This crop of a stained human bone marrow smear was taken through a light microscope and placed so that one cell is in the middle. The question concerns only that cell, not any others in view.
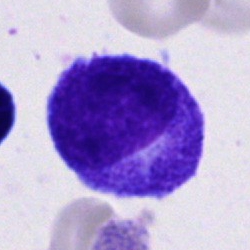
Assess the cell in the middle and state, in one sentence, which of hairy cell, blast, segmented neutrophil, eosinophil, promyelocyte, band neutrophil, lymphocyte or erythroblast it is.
The cell in the middle of this crop is a promyelocyte.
